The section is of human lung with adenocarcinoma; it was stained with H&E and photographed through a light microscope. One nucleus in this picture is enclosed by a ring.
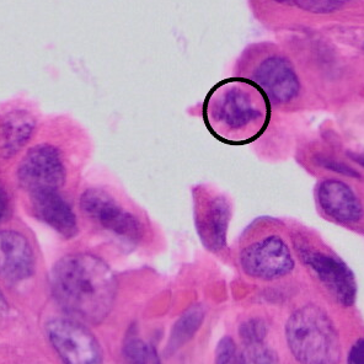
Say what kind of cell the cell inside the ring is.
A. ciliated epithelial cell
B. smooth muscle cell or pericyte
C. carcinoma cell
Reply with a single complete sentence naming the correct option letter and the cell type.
The accurate option is C, with the cell inside the ring being a carcinoma cell.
